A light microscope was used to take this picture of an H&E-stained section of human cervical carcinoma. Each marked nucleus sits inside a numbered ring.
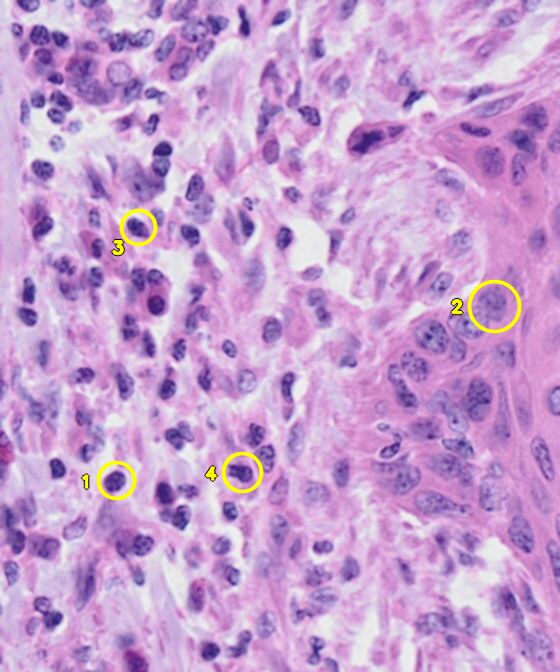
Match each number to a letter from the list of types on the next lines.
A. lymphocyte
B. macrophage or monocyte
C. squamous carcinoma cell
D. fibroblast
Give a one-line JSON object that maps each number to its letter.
{"1": "A", "2": "C", "3": "A", "4": "A"}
